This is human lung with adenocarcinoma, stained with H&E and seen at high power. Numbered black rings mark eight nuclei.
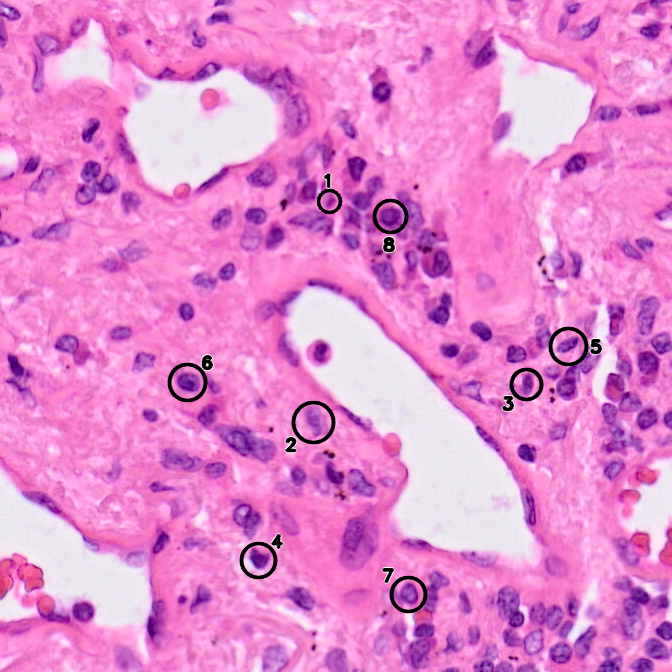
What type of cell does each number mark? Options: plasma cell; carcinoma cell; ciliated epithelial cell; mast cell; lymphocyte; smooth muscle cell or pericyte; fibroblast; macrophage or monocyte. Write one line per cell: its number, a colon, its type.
1: plasma cell
2: fibroblast
3: plasma cell
4: lymphocyte
5: lymphocyte
6: lymphocyte
7: mast cell
8: plasma cell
